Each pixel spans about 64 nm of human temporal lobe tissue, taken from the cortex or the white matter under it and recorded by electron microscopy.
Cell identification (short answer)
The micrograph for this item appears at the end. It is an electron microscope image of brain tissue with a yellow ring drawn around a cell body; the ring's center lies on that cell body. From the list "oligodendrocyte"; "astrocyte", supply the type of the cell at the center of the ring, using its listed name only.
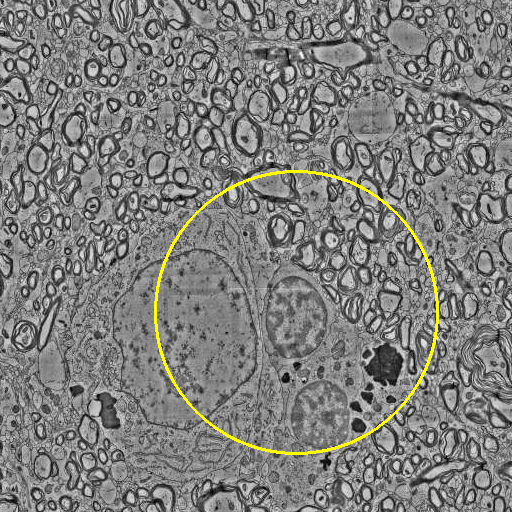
oligodendrocyte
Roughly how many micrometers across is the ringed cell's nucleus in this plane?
The nucleus has a long axis of about 5 micrometres and a short axis of about 4 micrometres in this plane.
